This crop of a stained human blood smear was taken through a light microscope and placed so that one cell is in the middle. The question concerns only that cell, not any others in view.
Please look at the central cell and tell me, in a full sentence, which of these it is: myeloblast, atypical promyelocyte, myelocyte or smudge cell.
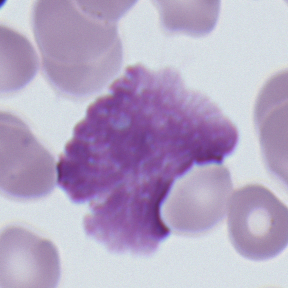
Positioned in the middle of the crop is a smudge cell.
